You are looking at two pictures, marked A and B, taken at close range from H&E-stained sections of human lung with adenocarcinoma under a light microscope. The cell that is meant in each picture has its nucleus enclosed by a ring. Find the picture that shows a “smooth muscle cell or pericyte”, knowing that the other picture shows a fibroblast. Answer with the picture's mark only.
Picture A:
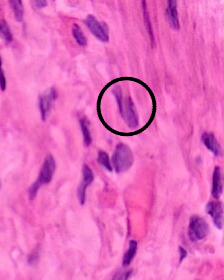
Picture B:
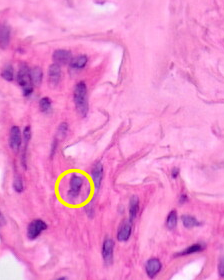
B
